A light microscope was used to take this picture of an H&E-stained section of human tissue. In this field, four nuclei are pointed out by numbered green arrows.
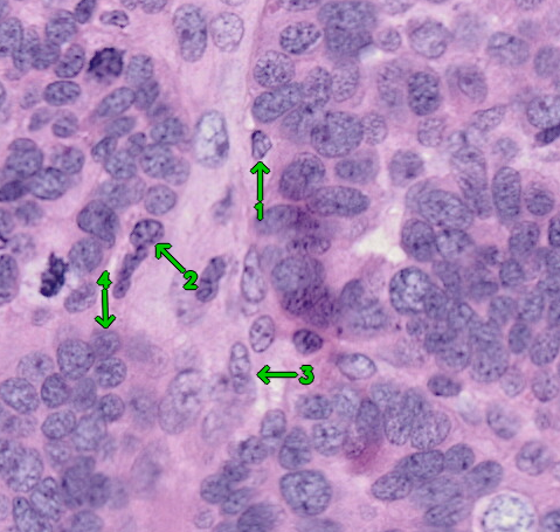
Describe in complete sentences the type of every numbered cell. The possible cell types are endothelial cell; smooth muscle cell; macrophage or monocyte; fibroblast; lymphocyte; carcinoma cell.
Cell 1 is a macrophage or monocyte, cell 2 is a macrophage or monocyte, cell 3 is a fibroblast and cell 4 is a carcinoma cell.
